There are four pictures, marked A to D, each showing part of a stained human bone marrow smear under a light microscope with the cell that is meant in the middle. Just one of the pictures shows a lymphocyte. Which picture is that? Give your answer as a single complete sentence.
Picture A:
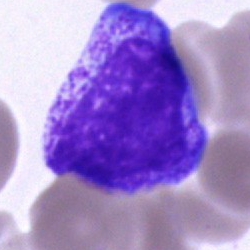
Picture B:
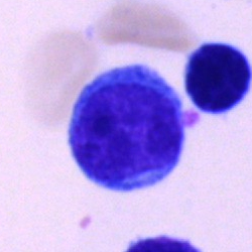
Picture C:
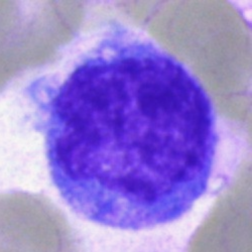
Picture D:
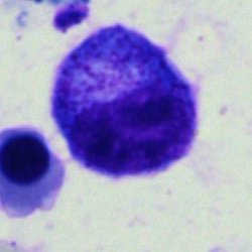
Picture B is the one that shows the lymphocyte.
